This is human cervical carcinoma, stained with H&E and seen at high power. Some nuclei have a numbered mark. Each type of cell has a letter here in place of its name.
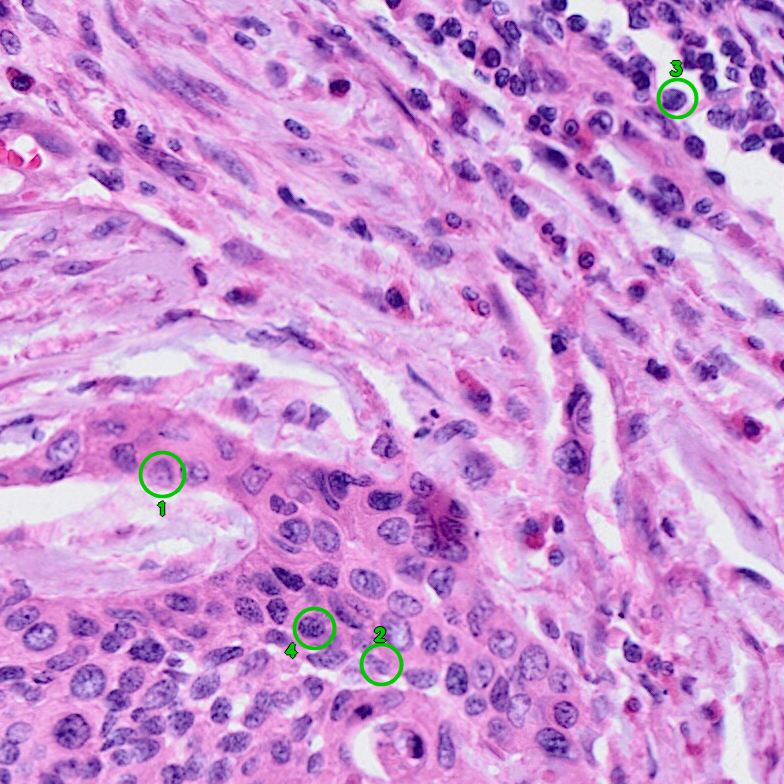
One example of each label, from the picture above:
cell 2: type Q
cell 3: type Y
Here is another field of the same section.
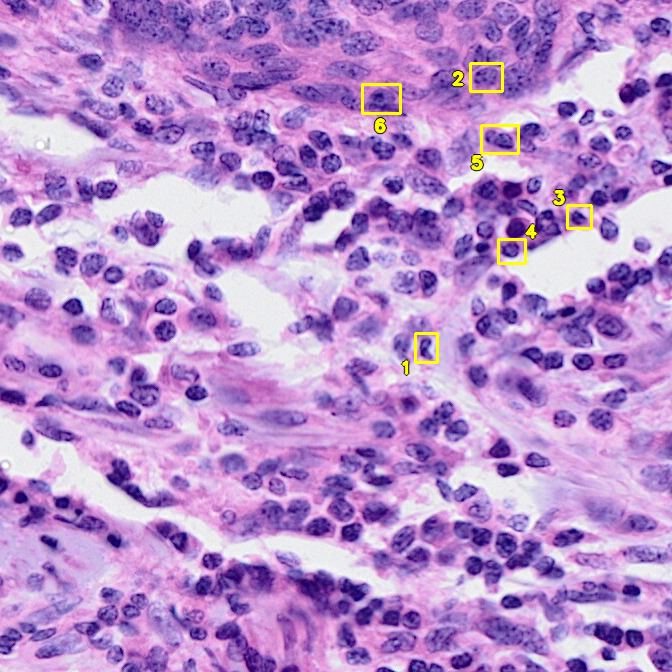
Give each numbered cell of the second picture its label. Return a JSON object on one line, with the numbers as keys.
{"1": "type Y", "2": "type Q", "3": "type Y", "4": "type Y", "5": "type Y", "6": "type Q"}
